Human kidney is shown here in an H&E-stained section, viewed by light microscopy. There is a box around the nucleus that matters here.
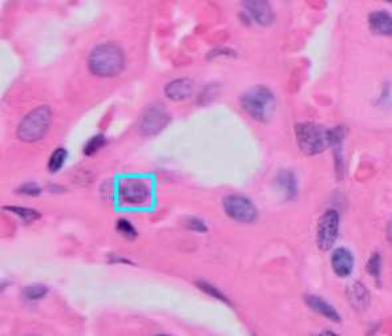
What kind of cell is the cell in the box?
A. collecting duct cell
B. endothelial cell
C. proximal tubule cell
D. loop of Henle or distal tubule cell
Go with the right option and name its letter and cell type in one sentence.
Option A is correct; the cell in the box is a collecting duct cell.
